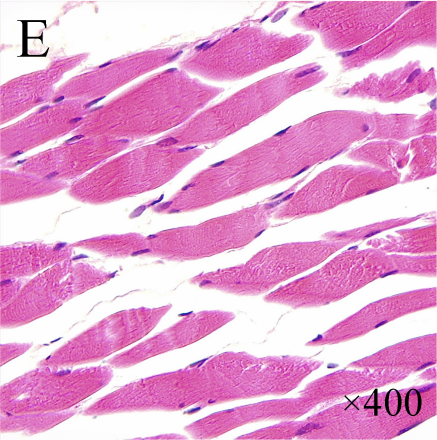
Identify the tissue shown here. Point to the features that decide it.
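Muscle tissue. Long, parallel pink fibers arranged in a regular pattern. Flattened dark nuclei lie at the edges of the fibers.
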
